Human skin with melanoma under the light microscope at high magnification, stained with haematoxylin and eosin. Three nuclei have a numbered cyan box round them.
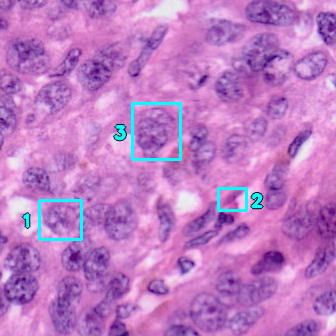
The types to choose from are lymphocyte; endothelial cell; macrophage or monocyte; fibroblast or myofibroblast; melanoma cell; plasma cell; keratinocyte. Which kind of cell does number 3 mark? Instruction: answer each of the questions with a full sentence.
The cell numbered 3 has been identified as a melanoma cell.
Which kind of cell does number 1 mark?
In this section, number 1 marks a melanoma cell.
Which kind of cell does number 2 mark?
To an endothelial cell belongs the nucleus marked 2.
